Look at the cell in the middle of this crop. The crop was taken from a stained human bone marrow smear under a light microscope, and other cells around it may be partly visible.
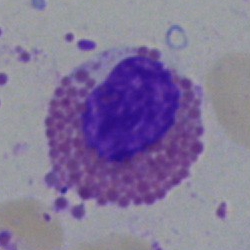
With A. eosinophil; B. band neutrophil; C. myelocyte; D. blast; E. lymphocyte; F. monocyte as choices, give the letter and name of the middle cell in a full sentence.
The central cell is an eosinophil, which makes option A the right answer.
